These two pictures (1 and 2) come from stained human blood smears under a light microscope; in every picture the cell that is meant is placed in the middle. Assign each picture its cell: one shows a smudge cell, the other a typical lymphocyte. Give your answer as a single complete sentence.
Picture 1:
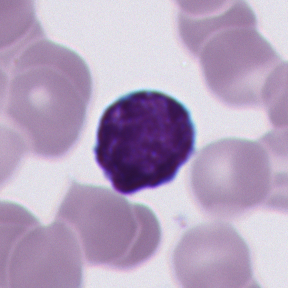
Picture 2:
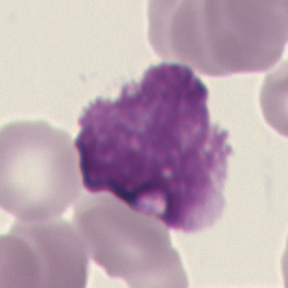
Picture 2 shows a smudge cell, while picture 1 shows a typical lymphocyte.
